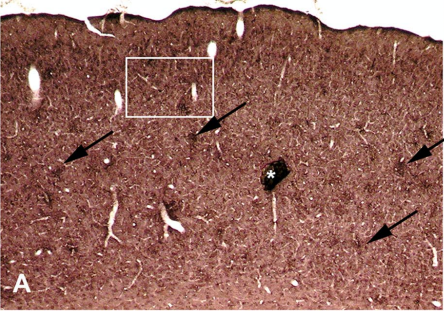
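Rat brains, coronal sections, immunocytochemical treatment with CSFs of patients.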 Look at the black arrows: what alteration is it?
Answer: Patches.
